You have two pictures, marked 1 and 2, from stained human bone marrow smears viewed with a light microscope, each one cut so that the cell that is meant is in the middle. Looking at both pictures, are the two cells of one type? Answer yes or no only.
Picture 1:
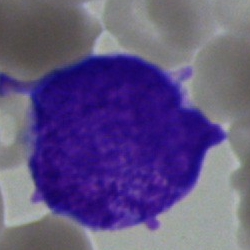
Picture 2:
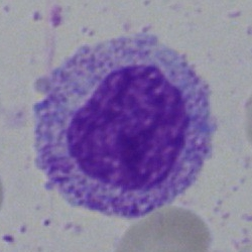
no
